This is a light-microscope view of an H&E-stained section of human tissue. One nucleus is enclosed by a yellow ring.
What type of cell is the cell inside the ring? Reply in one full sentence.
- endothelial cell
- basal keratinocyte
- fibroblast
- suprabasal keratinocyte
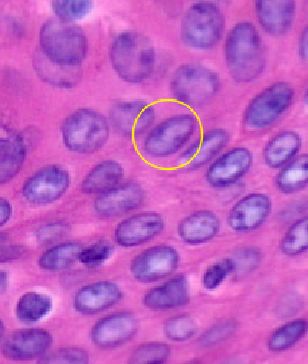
For the purposes of cell typing, the cell inside the ring is categorized as a suprabasal keratinocyte.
